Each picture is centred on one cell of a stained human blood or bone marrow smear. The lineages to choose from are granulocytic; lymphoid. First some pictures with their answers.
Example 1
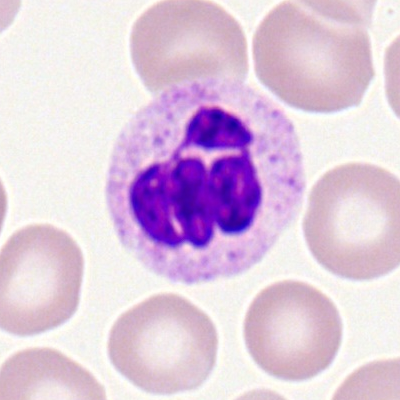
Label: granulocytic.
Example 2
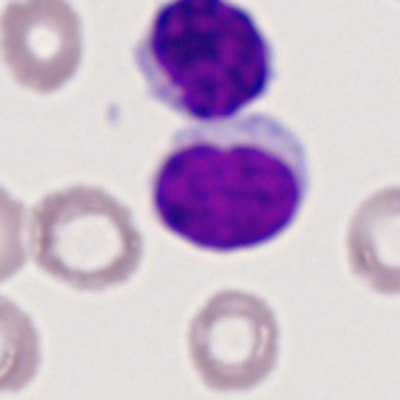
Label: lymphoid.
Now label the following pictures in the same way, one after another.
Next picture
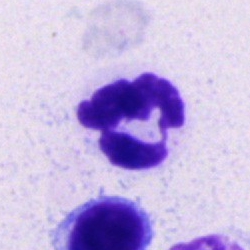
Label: granulocytic.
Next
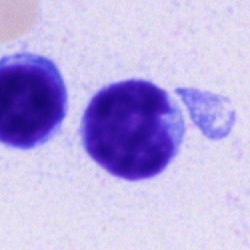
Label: lymphoid.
